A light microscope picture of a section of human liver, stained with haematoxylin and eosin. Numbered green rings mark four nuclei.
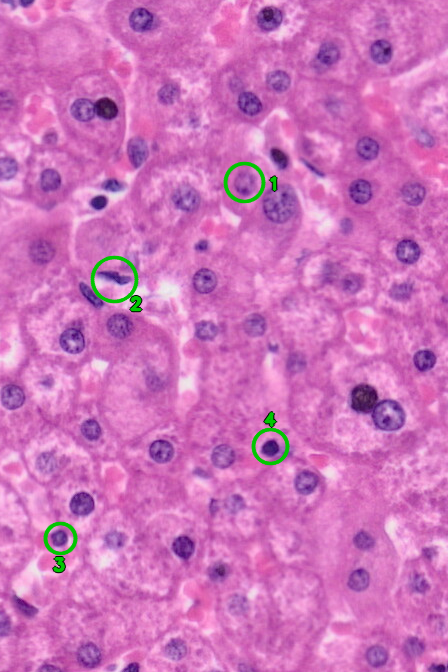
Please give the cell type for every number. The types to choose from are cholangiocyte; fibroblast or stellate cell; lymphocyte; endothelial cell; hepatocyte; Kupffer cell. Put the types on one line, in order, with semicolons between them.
hepatocyte; endothelial cell; lymphocyte; lymphocyte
